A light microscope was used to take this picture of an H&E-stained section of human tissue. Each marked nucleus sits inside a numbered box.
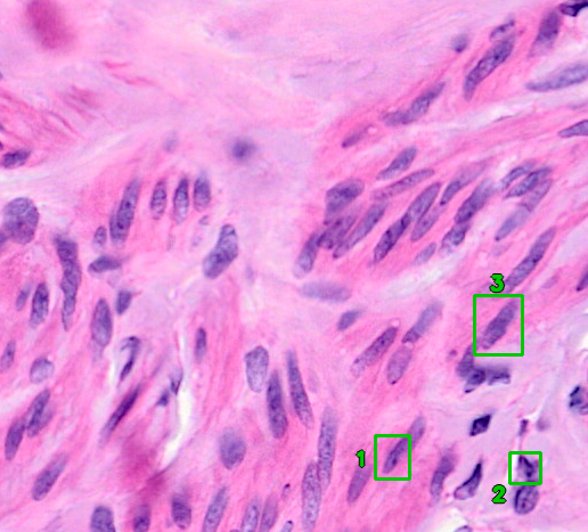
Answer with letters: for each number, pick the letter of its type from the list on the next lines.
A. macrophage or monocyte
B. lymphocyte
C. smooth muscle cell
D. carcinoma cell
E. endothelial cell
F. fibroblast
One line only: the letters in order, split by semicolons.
C; F; C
